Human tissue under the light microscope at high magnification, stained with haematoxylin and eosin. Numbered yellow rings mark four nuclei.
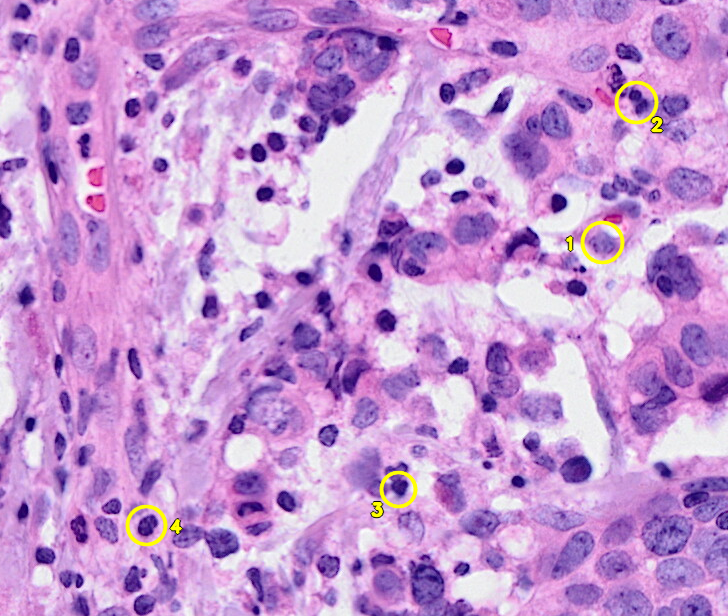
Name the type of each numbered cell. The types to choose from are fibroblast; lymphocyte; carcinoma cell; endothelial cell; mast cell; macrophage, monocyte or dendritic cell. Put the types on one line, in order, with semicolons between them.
endothelial cell; lymphocyte; lymphocyte; lymphocyte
